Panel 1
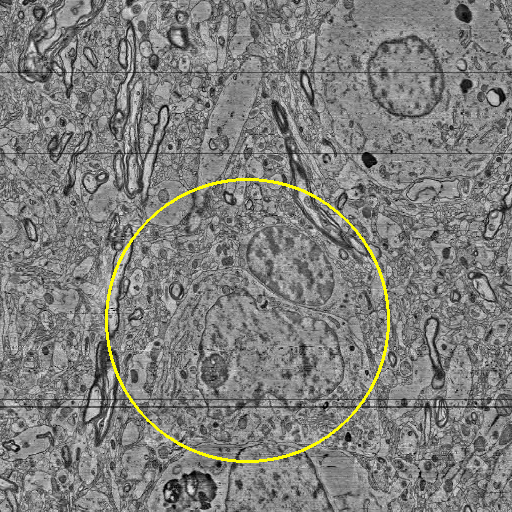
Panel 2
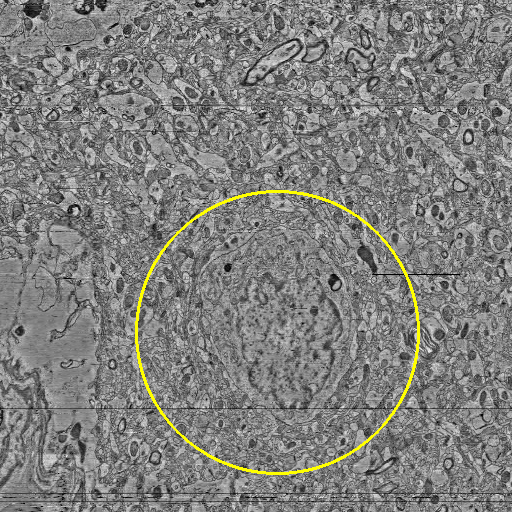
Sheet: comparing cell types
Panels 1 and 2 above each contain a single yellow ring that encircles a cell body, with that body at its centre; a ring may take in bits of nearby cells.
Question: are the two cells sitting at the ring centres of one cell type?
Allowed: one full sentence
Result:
Yes, the ring-centre cells in Panel 1 and Panel 2 are of one type.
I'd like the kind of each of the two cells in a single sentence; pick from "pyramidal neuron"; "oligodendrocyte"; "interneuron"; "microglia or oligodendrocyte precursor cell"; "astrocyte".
In both pictures the ring is centred on an interneuron.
